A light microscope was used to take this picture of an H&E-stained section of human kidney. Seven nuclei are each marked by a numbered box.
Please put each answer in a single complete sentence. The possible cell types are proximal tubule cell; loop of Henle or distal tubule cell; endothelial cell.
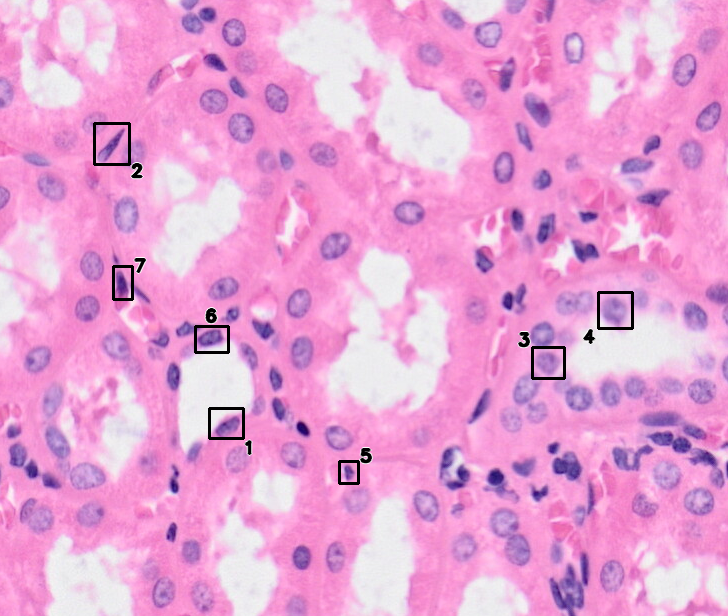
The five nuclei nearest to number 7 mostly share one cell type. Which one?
The majority of the five nuclei closest to number 7 belong to proximal tubule cells.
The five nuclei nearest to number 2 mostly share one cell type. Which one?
Of the five nuclei nearest to number 2, most belong to proximal tubule cells.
